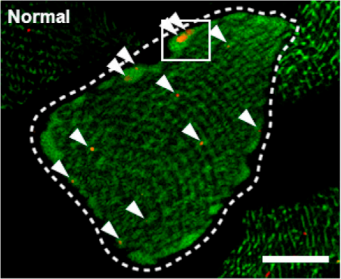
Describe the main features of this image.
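The green network shows a regular, fine striated pattern across the fiber. Scattered within it are a few small red-orange puncta, some near the fiber edge and others in the interior. Neighbouring fibers at the margins show similar striated green patterns.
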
